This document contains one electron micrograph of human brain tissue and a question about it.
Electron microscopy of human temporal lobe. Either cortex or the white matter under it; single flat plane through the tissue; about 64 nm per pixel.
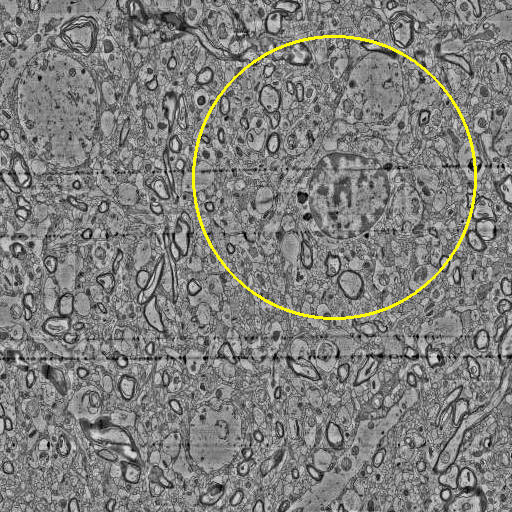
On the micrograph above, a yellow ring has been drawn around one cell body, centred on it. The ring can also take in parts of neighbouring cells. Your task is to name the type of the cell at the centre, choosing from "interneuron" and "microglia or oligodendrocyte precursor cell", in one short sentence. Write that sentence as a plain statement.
Here the ring is centred on a microglial cell or oligodendrocyte precursor cell.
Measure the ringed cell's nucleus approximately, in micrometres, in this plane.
The nucleus is approximately 5 micrometers across in this plane.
